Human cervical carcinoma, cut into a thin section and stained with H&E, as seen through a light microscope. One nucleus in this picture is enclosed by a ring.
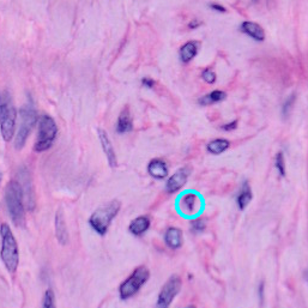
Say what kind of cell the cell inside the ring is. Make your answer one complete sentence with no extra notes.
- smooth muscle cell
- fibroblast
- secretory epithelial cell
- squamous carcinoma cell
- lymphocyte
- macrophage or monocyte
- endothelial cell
The identity of the cell inside the ring is that of a smooth muscle cell.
